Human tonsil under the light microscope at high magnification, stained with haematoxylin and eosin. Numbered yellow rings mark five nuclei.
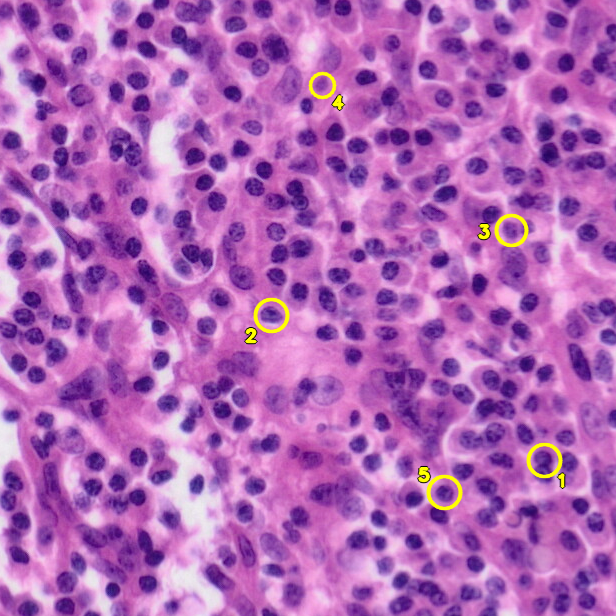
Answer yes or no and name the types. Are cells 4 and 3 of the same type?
Yes, cell 4 and cell 3 are both squamous epithelial cells.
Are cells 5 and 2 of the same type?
No, a plasma cell is what cell 5 is, and a squamous epithelial cell is what cell 2 is.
